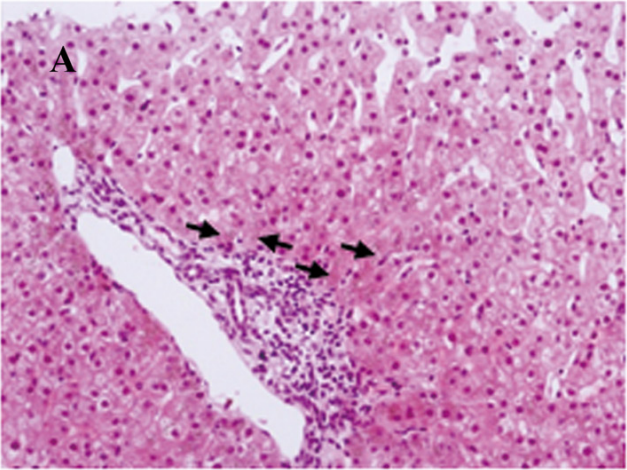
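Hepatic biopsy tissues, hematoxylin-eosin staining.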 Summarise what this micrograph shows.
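Liver parenchyma at lower magnification: pink hepatocytes with dark round nuclei arranged in plates separated by slender sinusoids, surrounding a portal tract. The portal tract contains a large empty-looking vessel lumen and a dense collection of small dark nuclei from inflammatory cells spreading into the adjacent tissue. The hepatocytes in the band immediately next to the portal tract appear slightly deeper pink and faintly granular compared with those farther away.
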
